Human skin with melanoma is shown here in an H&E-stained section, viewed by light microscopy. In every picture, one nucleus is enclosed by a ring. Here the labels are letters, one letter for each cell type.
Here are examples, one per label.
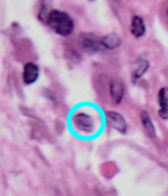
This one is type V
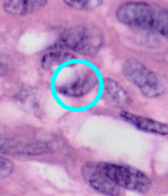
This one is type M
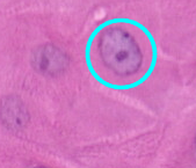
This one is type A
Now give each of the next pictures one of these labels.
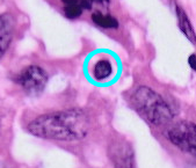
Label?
type V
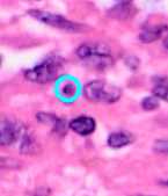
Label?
type V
